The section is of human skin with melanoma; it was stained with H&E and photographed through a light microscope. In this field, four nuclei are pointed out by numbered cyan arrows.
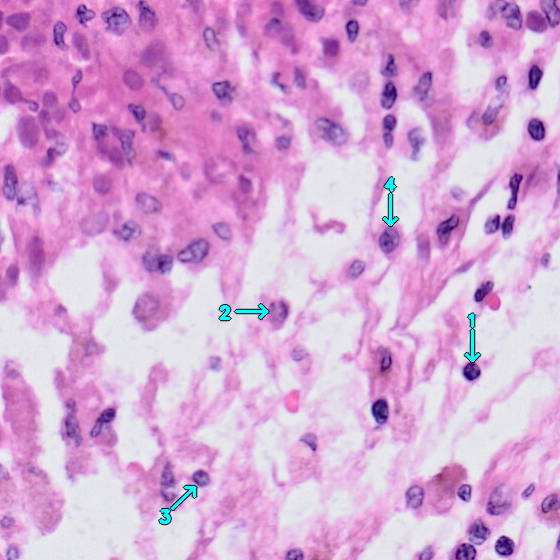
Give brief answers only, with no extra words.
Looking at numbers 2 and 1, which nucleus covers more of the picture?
2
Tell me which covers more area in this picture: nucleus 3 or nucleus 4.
4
